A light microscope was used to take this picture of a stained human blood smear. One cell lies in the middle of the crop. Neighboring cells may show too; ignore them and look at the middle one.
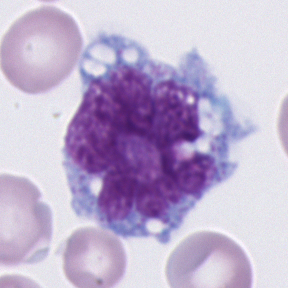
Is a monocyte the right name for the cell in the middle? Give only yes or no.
yes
